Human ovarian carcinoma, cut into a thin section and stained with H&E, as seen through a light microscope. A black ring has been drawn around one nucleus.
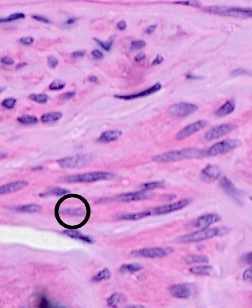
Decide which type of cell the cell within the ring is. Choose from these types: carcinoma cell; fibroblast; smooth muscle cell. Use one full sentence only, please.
Labelled by cell type, the cell within the ring is a smooth muscle cell.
